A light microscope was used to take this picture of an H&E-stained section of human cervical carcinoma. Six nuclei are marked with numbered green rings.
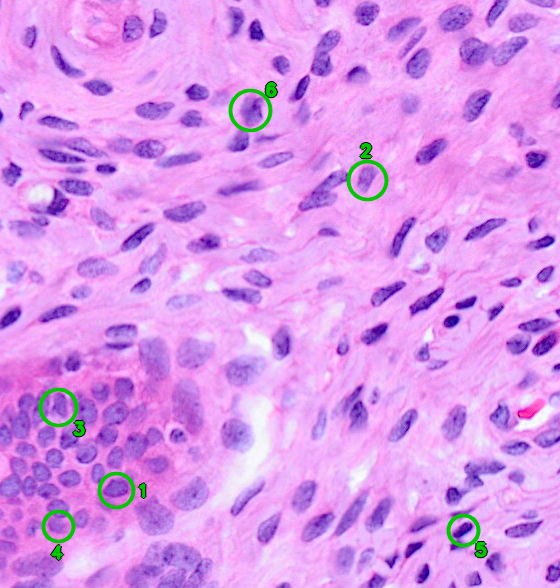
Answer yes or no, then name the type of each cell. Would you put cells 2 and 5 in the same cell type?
Yes, cell 2 and cell 5 are both fibroblasts.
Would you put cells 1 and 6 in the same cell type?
No, the correct reading has cell 1 as a secretory epithelial cell and cell 6 as a fibroblast.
